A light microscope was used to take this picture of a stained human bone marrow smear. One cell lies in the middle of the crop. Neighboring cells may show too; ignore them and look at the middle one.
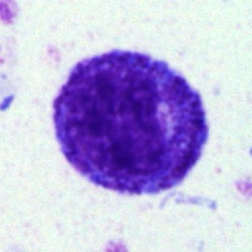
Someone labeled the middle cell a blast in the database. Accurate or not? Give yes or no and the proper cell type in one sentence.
No, the central cell qualifies as a promyelocyte rather than as a blast.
